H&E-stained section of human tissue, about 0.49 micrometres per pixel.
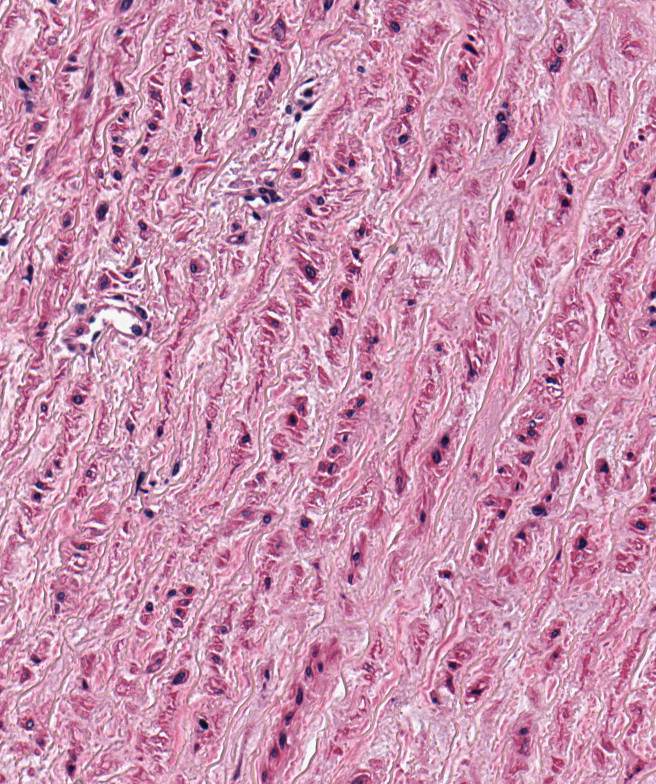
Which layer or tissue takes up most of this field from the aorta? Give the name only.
tunica media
